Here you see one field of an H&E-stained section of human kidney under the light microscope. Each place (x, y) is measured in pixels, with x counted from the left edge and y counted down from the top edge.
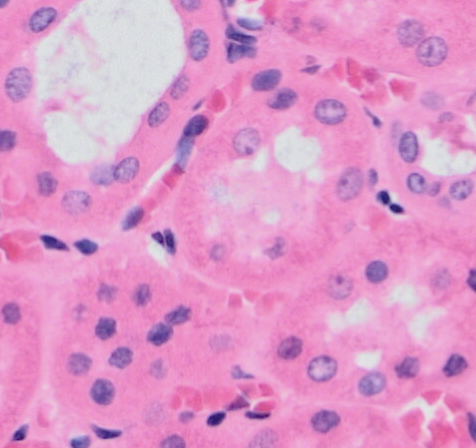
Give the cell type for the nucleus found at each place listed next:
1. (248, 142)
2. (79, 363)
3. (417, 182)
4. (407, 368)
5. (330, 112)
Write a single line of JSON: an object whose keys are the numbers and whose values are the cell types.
{"1": "proximal tubule cell", "2": "loop of Henle or distal tubule cell", "3": "collecting duct cell", "4": "proximal tubule cell", "5": "proximal tubule cell"}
